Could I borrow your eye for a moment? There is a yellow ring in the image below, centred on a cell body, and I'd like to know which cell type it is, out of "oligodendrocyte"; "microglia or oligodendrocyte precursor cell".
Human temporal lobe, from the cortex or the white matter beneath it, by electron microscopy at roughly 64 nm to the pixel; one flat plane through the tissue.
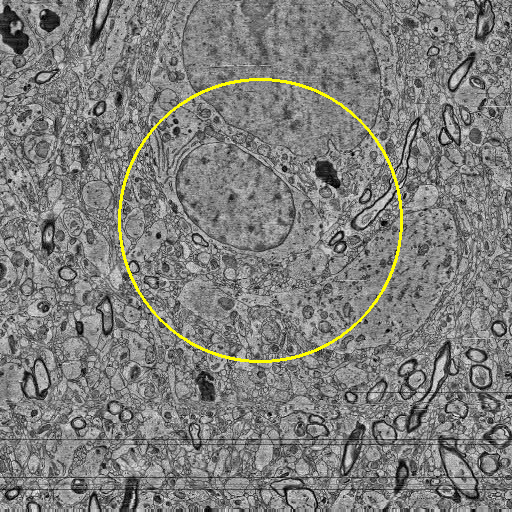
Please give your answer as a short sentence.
The cell body at the centre is that of a microglial cell or oligodendrocyte precursor cell.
